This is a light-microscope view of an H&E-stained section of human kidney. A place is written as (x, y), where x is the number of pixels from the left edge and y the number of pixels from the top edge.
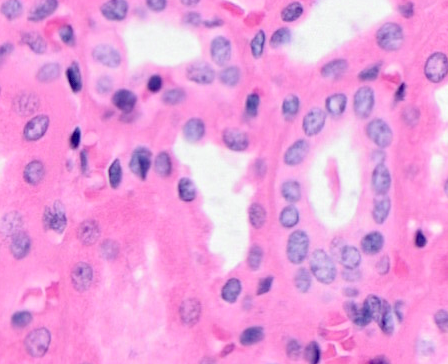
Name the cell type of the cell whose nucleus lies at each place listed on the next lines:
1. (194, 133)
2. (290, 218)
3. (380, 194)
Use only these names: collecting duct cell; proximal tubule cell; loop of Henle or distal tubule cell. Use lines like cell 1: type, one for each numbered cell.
cell 1: loop of Henle or distal tubule cell
cell 2: collecting duct cell
cell 3: collecting duct cell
